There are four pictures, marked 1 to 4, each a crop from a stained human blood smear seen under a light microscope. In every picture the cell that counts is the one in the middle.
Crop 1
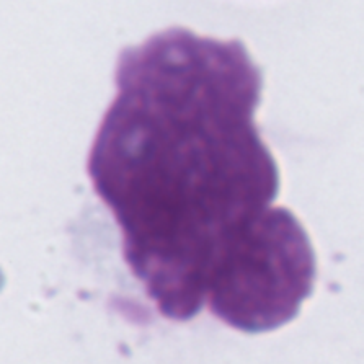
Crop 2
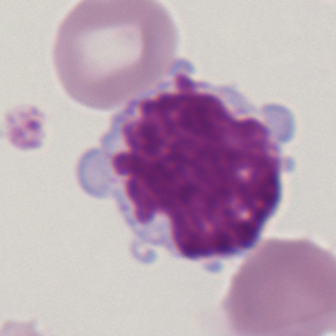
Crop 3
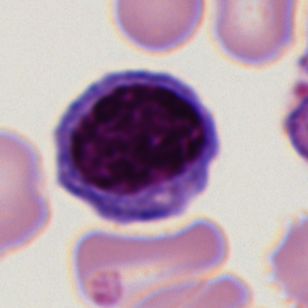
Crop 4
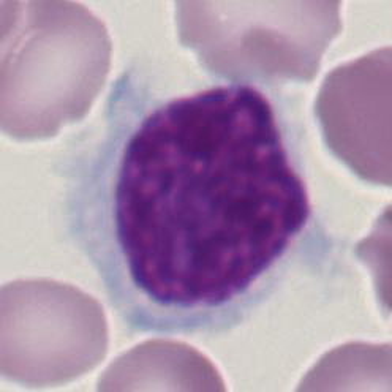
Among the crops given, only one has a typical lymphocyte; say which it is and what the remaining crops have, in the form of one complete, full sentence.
Crop 2 is recognised as a typical lymphocyte, whereas crop 1 is a smudge cell, crop 3 is an erythroblast and crop 4 is a hairy cell.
